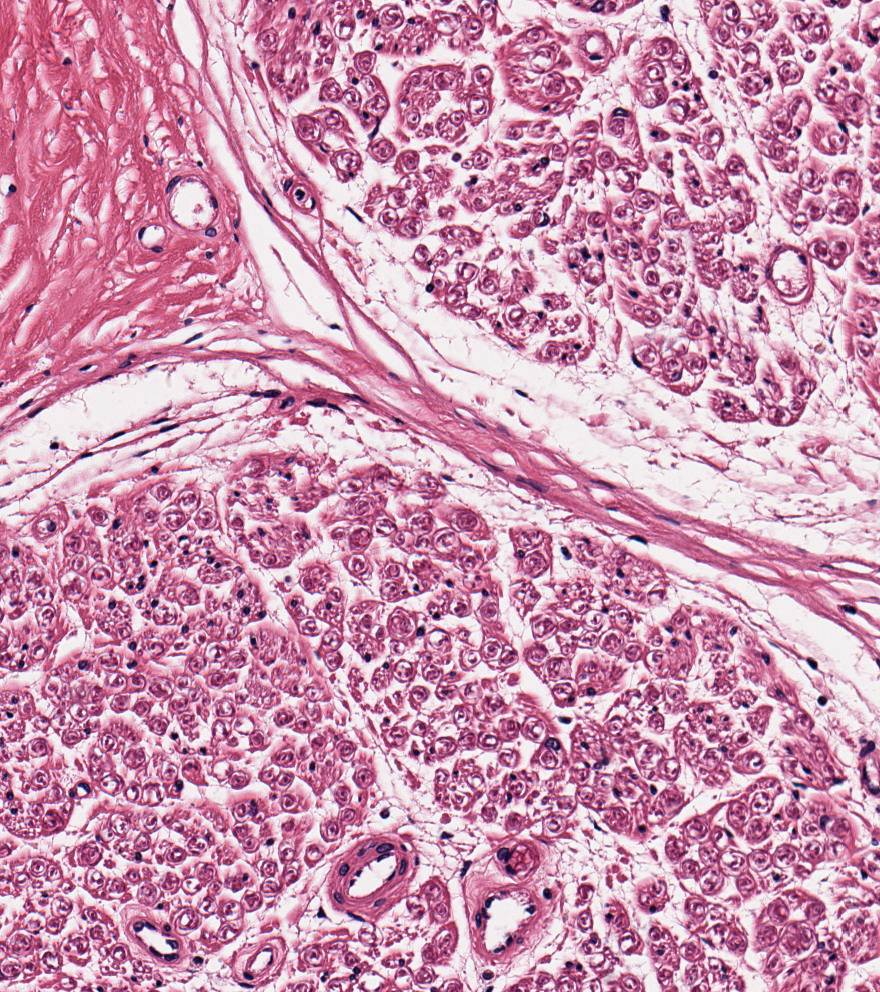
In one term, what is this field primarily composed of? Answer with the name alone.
nerve fascicle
